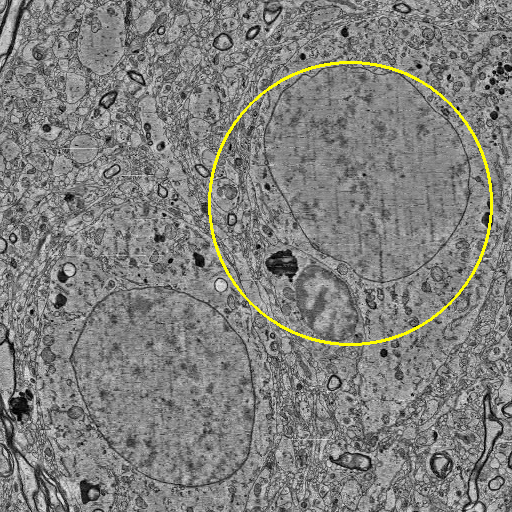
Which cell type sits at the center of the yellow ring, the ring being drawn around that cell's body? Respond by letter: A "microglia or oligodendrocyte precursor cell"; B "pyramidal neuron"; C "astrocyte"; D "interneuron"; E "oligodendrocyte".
B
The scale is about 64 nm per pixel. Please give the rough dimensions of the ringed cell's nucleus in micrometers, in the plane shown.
Roughly 15 by 12 micrometres in this plane, for the nucleus of the ringed cell.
